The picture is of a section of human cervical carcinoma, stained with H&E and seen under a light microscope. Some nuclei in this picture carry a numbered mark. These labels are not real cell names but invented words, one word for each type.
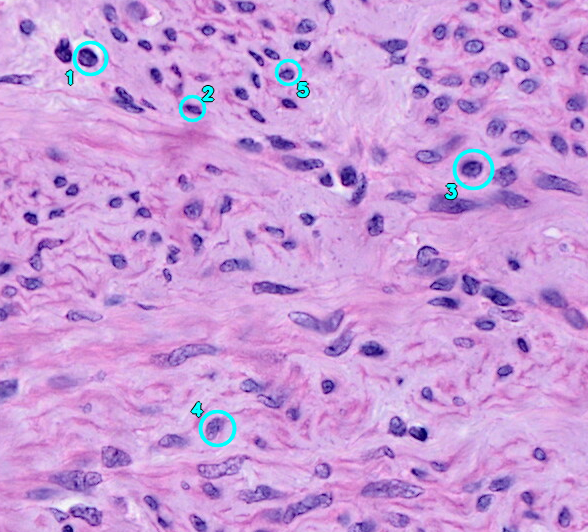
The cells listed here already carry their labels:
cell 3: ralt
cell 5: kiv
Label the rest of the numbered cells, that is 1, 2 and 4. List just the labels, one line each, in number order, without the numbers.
ralt
kiv
kiv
